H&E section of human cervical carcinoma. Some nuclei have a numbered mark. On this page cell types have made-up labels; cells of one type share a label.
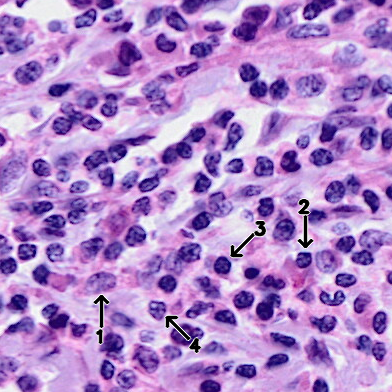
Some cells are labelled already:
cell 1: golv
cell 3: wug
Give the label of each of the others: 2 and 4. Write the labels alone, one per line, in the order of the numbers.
wug
wug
